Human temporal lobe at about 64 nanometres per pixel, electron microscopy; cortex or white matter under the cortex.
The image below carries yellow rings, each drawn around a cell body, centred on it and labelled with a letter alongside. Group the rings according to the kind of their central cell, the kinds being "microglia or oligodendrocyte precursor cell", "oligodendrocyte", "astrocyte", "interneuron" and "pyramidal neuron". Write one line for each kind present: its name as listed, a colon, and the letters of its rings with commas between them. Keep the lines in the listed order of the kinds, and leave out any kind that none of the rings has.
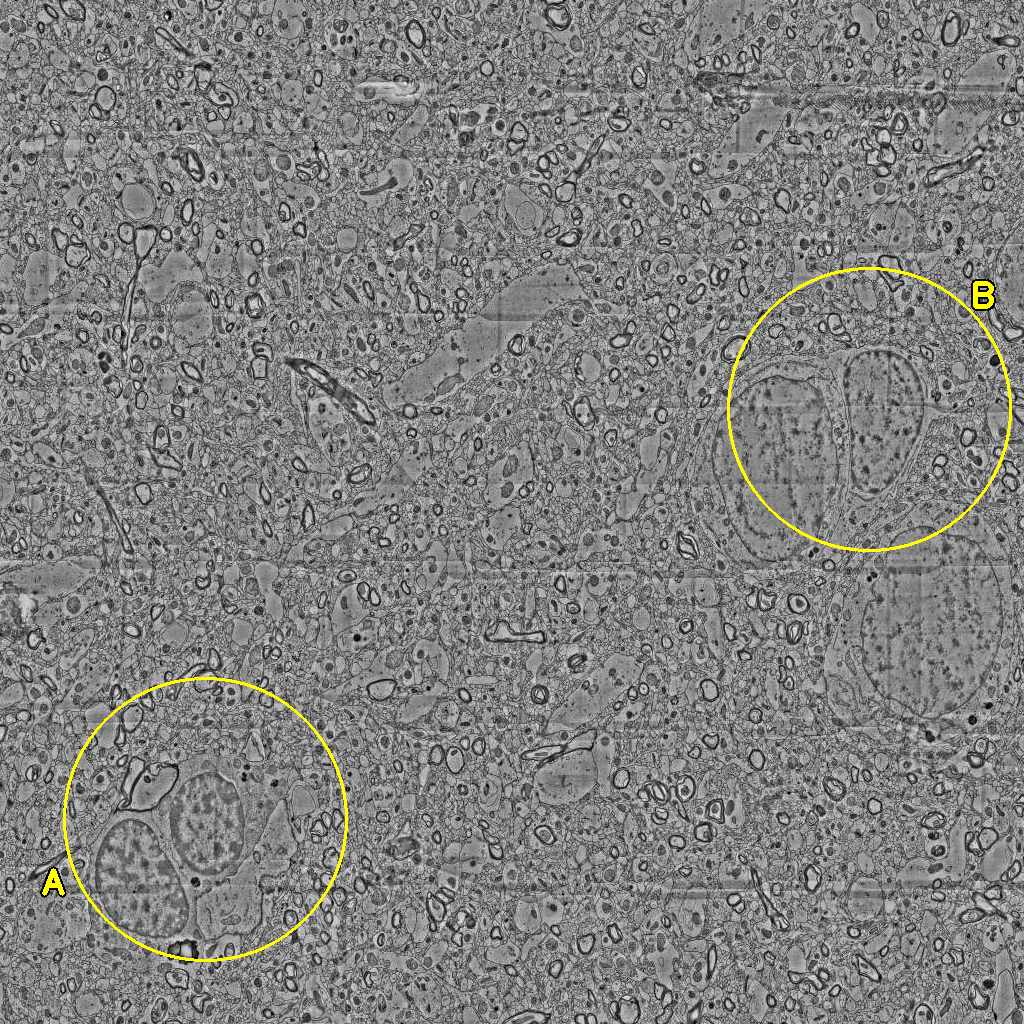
microglia or oligodendrocyte precursor cell: B
oligodendrocyte: A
